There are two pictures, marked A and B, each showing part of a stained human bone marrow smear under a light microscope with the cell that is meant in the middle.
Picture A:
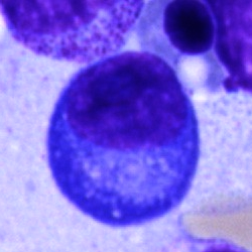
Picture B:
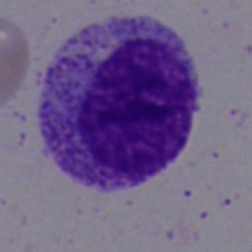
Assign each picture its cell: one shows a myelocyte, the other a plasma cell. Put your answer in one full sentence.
The cell in picture A is a plasma cell, and the one in picture B is a myelocyte.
